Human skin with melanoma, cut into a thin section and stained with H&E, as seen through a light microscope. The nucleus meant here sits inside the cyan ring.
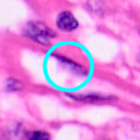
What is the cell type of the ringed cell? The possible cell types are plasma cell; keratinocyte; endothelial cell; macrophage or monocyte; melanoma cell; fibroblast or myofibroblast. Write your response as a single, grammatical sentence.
In this field of tissue, the ringed cell is an endothelial cell.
